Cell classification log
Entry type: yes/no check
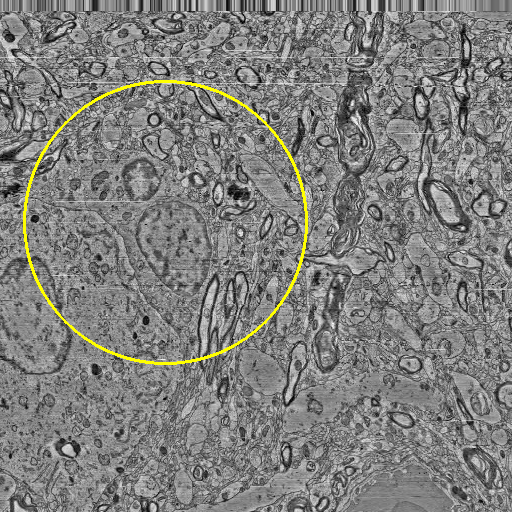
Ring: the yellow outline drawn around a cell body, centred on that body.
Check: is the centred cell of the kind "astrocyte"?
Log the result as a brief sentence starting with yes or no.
No, the cell is of another kind.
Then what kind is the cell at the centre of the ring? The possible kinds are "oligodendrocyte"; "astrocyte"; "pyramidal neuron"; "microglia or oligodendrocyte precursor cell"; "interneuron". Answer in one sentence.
The cell this ring marks is an oligodendrocyte.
